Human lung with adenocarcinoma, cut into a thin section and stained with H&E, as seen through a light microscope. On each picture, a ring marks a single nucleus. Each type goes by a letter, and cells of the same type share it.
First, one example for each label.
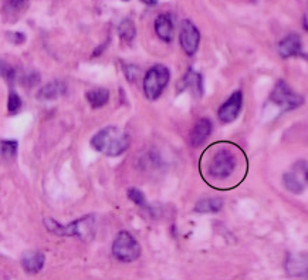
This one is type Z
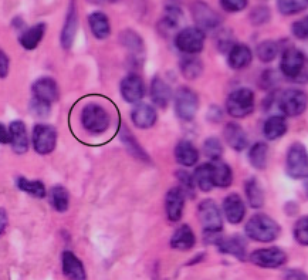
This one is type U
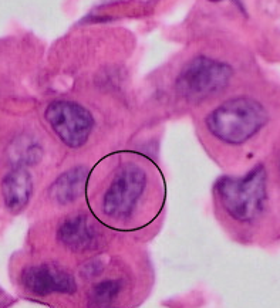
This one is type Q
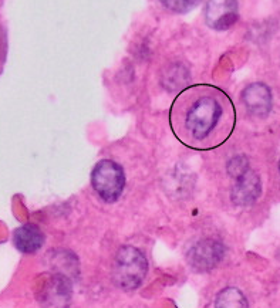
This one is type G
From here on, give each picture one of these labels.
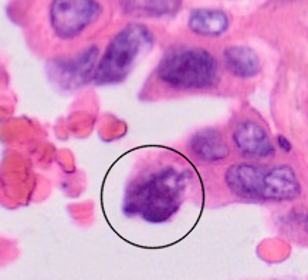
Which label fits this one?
type Q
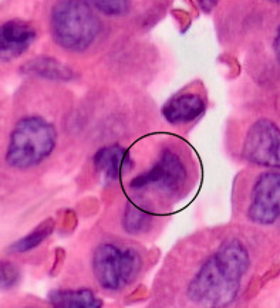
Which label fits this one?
type Q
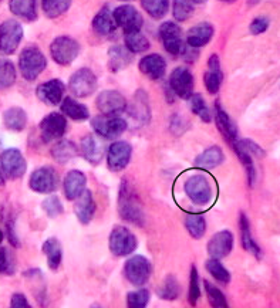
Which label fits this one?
type U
